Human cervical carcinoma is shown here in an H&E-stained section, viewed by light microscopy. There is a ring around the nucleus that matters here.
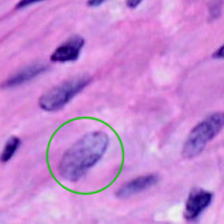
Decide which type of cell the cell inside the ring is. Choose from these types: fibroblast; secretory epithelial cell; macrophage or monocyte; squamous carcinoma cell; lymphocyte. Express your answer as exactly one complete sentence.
As to its cell type, the cell inside the ring is a fibroblast.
